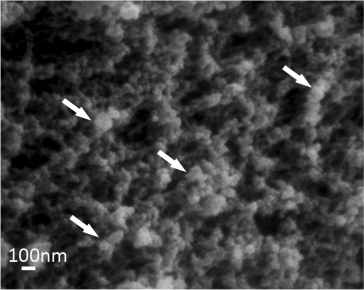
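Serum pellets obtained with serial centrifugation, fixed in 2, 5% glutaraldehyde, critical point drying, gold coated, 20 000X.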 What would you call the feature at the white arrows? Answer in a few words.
Small vesicles.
